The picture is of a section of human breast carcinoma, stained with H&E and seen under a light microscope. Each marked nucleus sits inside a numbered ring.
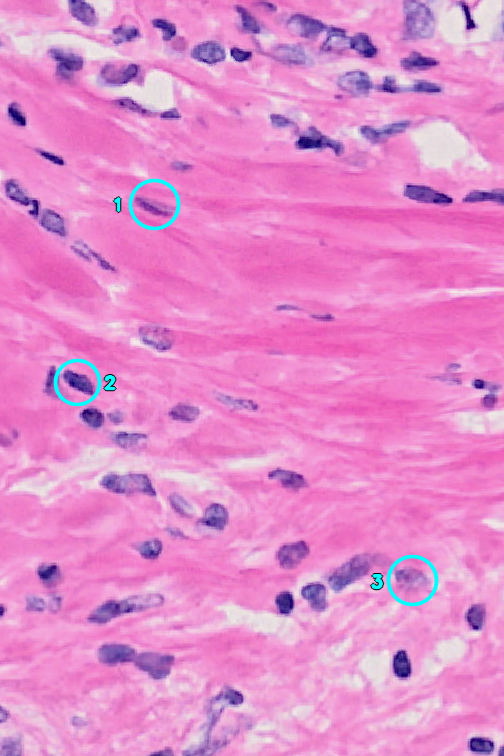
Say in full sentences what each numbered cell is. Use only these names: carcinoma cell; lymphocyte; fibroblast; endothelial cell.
Cells 1 and 3 are fibroblasts. Cell 2 is a lymphocyte.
